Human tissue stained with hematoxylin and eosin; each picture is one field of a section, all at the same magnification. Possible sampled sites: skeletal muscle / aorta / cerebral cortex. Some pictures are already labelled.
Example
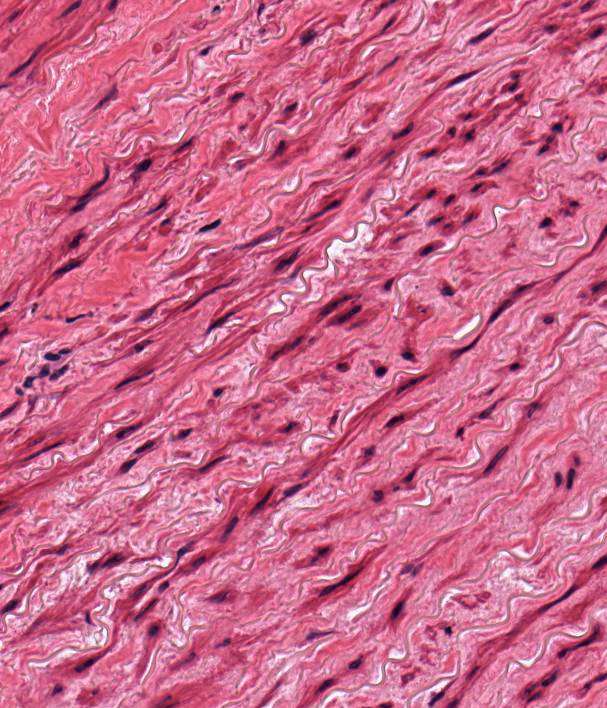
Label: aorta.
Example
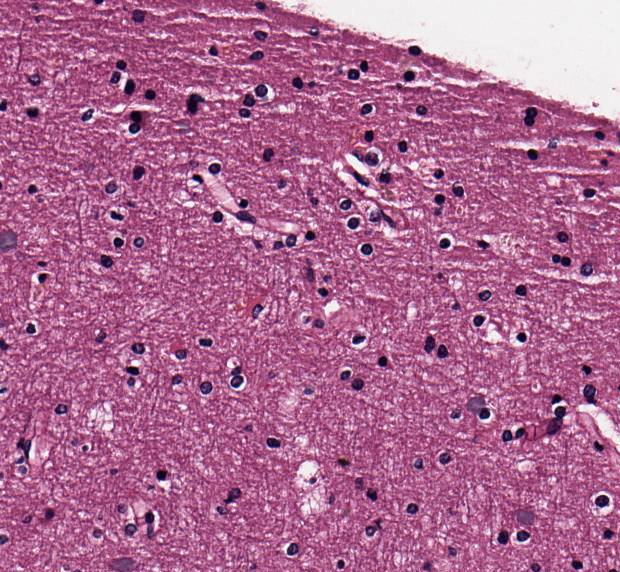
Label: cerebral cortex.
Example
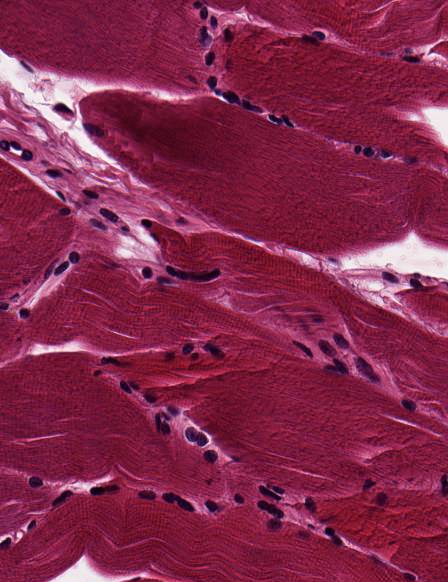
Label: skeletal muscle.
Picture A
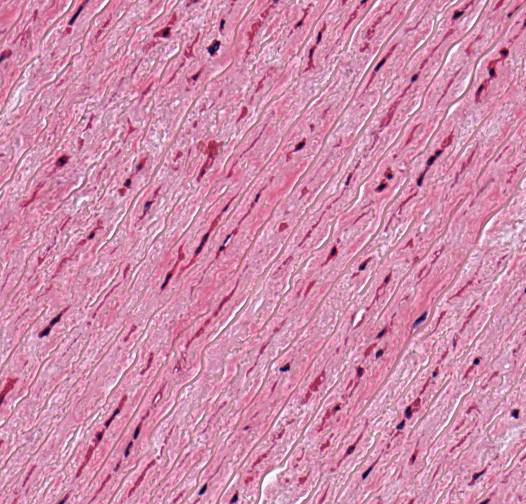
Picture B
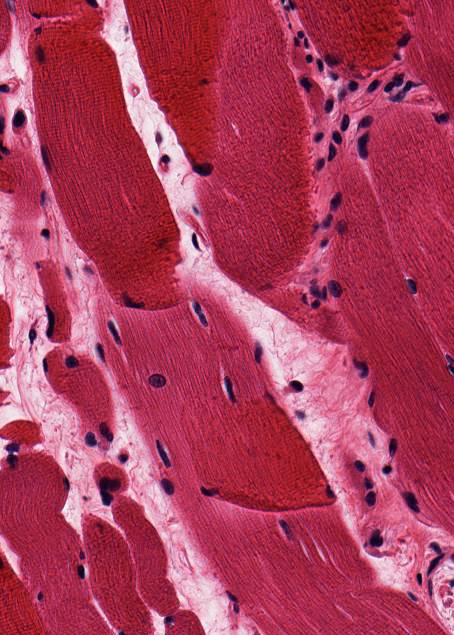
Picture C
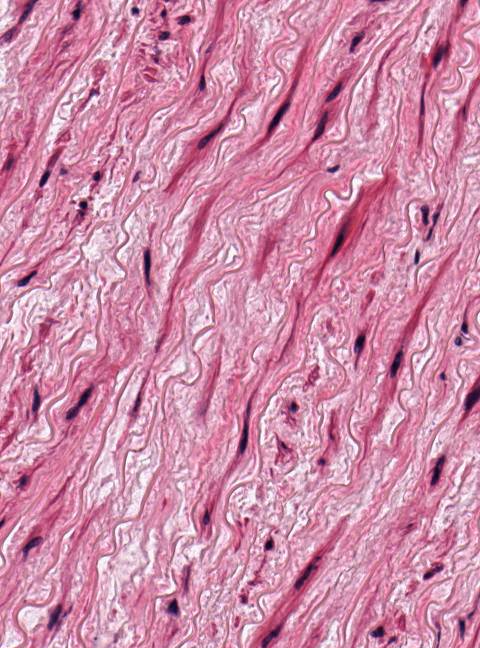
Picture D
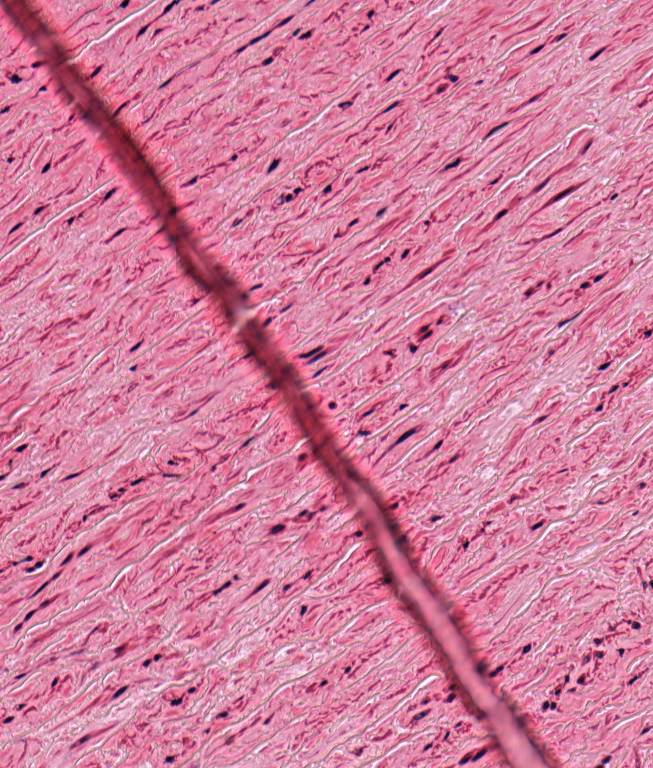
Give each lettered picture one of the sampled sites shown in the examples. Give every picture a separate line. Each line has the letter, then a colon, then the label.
A: aorta.
B: skeletal muscle.
C: aorta.
D: aorta.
